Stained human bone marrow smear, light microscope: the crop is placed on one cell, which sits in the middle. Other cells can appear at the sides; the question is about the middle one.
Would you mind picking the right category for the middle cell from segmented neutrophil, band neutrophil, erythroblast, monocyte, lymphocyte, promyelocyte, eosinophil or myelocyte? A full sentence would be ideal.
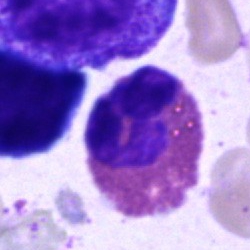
In the middle of this smear crop is an eosinophil.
